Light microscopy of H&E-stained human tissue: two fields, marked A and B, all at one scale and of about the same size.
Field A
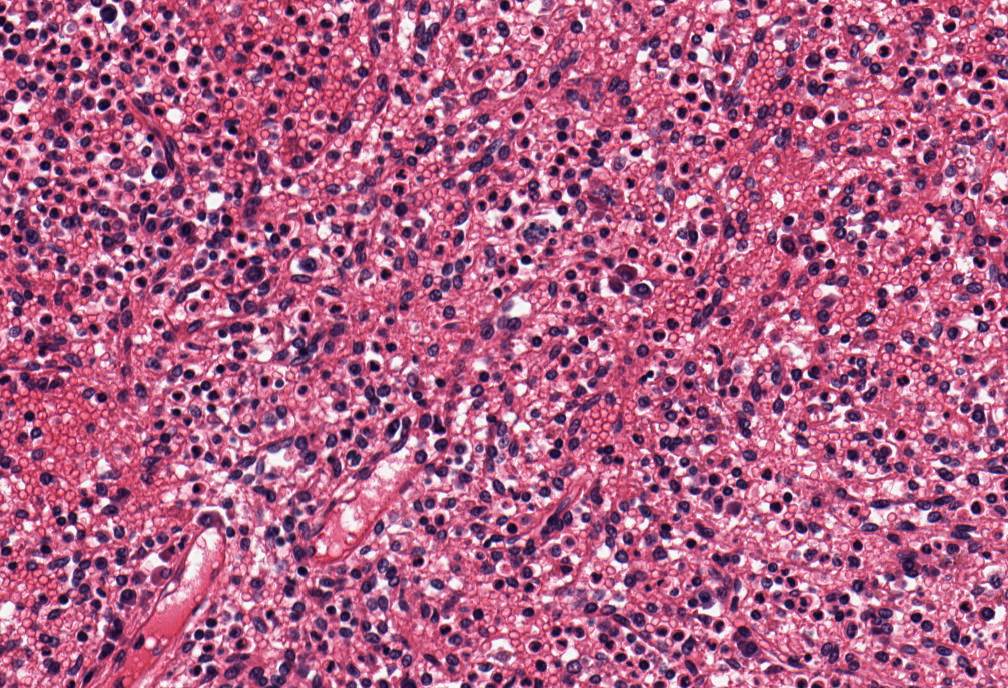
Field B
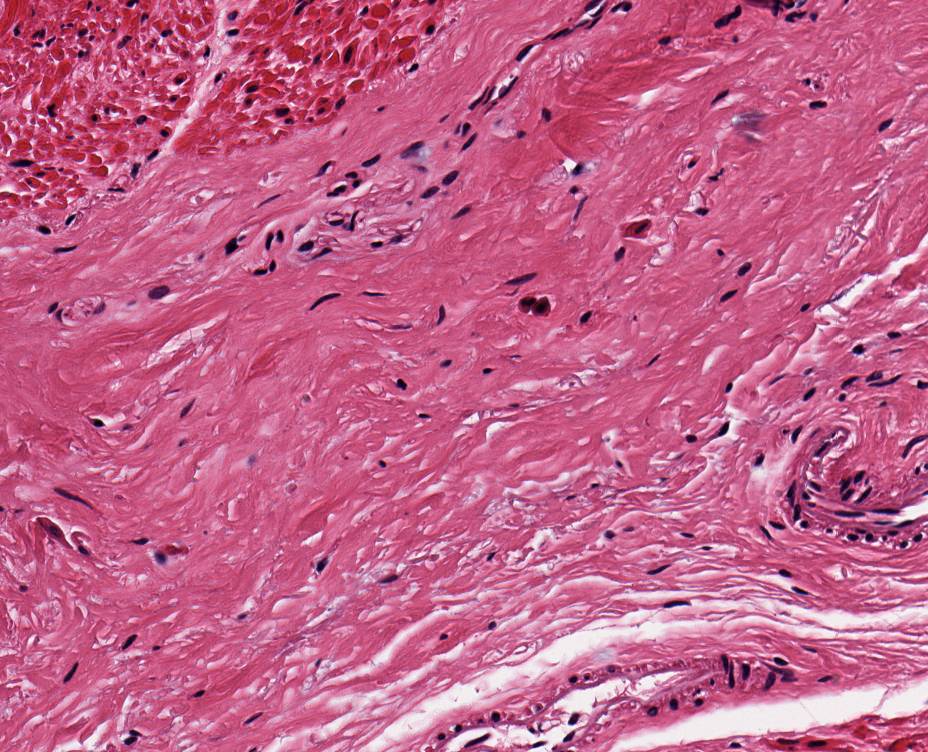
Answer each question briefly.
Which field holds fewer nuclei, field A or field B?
B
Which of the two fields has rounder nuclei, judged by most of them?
A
